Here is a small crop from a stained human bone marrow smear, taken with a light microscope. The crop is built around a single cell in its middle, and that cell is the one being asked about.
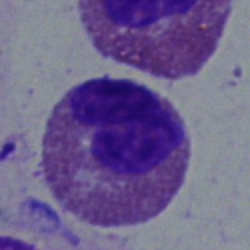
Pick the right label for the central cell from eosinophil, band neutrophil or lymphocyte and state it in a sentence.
Centrally within this crop lies an eosinophil.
